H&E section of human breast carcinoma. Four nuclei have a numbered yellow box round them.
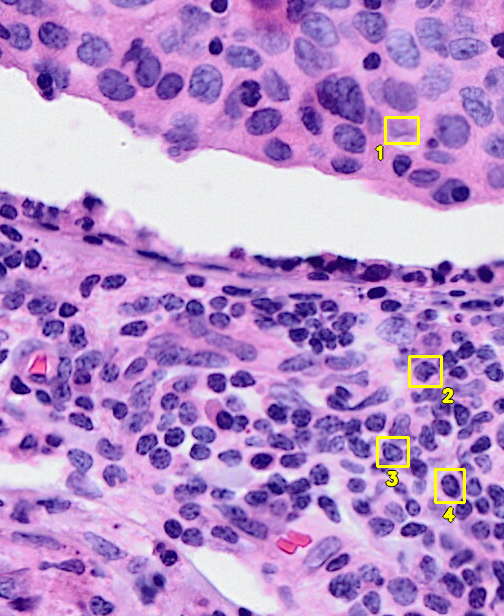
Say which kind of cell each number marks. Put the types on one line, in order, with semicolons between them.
carcinoma cell; lymphocyte; lymphocyte; lymphocyte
